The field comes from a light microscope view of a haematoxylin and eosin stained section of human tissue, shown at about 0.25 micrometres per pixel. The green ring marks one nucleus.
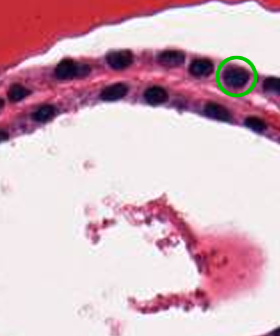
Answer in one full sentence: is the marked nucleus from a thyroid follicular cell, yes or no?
Yes, the marked nucleus is found within a thyroid follicular cell.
